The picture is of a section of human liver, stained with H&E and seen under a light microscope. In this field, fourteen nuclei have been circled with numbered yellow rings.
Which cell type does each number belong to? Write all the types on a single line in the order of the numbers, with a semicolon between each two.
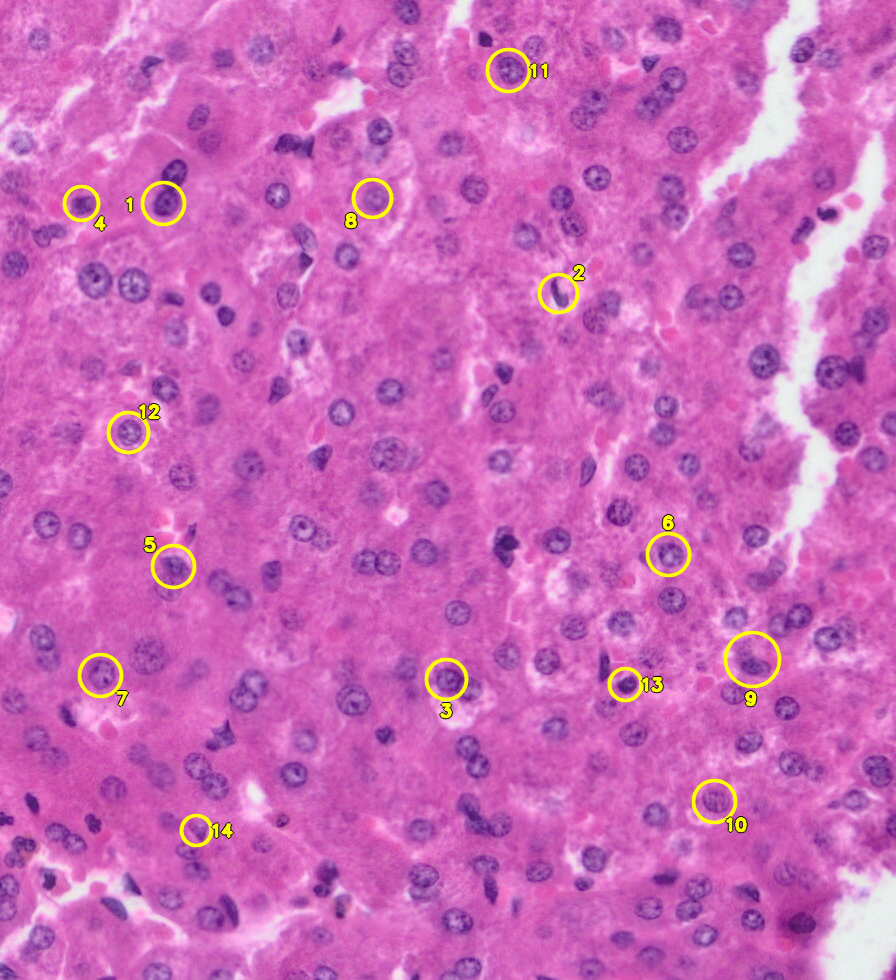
hepatocyte; endothelial cell; hepatocyte; fibroblast or stellate cell; fibroblast or stellate cell; hepatocyte; hepatocyte; hepatocyte; Kupffer cell; hepatocyte; hepatocyte; hepatocyte; lymphocyte; fibroblast or stellate cell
